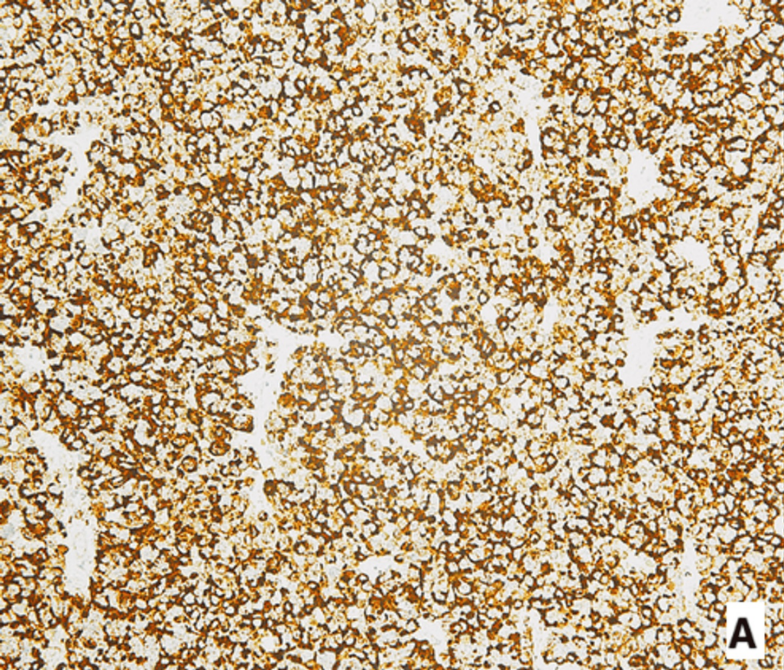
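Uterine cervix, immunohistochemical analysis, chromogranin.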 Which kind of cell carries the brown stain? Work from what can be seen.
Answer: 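A diffuse solid population of crowded cells shows granular brown staining in the cytoplasm. Only small pale spaces interrupt the stained cell sheets.
Conclusion: Neoplastic cells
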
